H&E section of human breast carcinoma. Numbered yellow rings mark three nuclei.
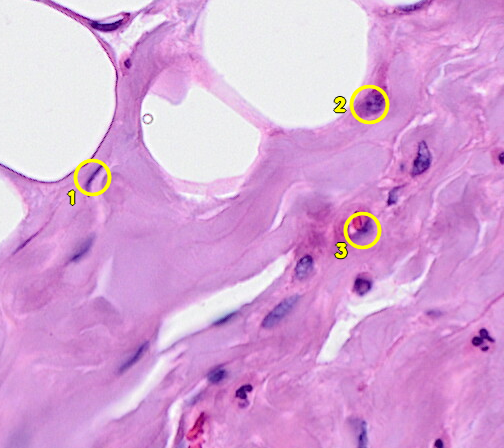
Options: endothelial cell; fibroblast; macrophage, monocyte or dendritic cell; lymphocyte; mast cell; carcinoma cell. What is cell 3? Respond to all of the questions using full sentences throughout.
That cell with number 3 is an endothelial cell.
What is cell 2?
What the number 2 marks in this field is a mast cell.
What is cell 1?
Cell number 1 in this section is a fibroblast.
